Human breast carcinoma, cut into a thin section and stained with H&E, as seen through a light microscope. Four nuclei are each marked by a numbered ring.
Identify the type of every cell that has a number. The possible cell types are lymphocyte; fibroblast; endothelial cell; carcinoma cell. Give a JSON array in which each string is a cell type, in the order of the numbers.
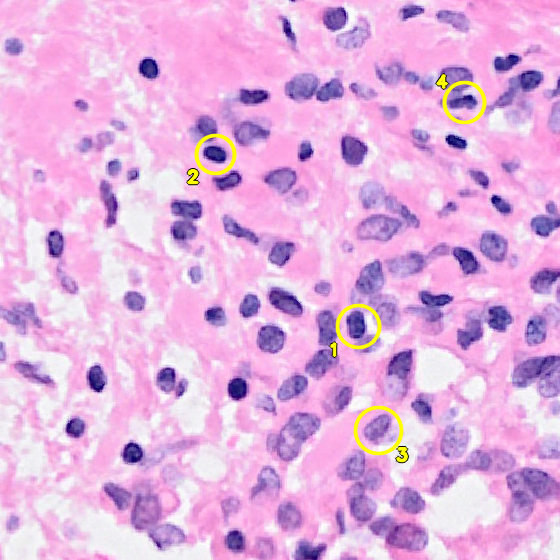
["lymphocyte", "lymphocyte", "carcinoma cell", "lymphocyte"]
